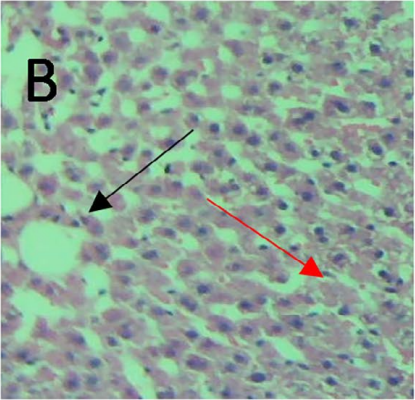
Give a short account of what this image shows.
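Liver tissue showing hepatic parenchyma at higher magnification, with individual hepatocytes clearly seen. The cells are polygonal, each with a single round, dark purple central nucleus and pinkish cytoplasm that in many cells looks pale and rarefied. Numerous irregular clear spaces separate the cells, and a larger round empty space sits at the left edge. The normal orderly cords are partly broken up, so that the cells appear loosened and somewhat swollen. A black arrow and a red arrow point into this area of altered cells.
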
